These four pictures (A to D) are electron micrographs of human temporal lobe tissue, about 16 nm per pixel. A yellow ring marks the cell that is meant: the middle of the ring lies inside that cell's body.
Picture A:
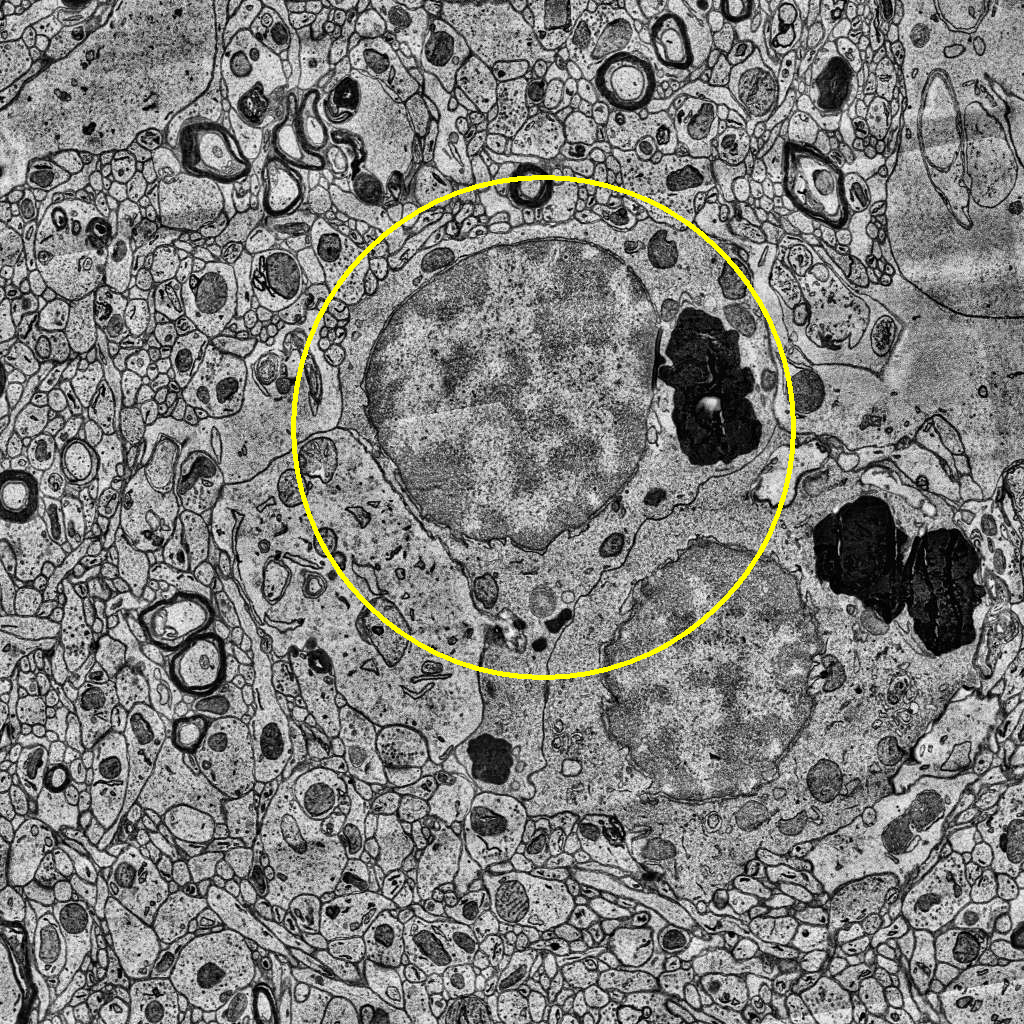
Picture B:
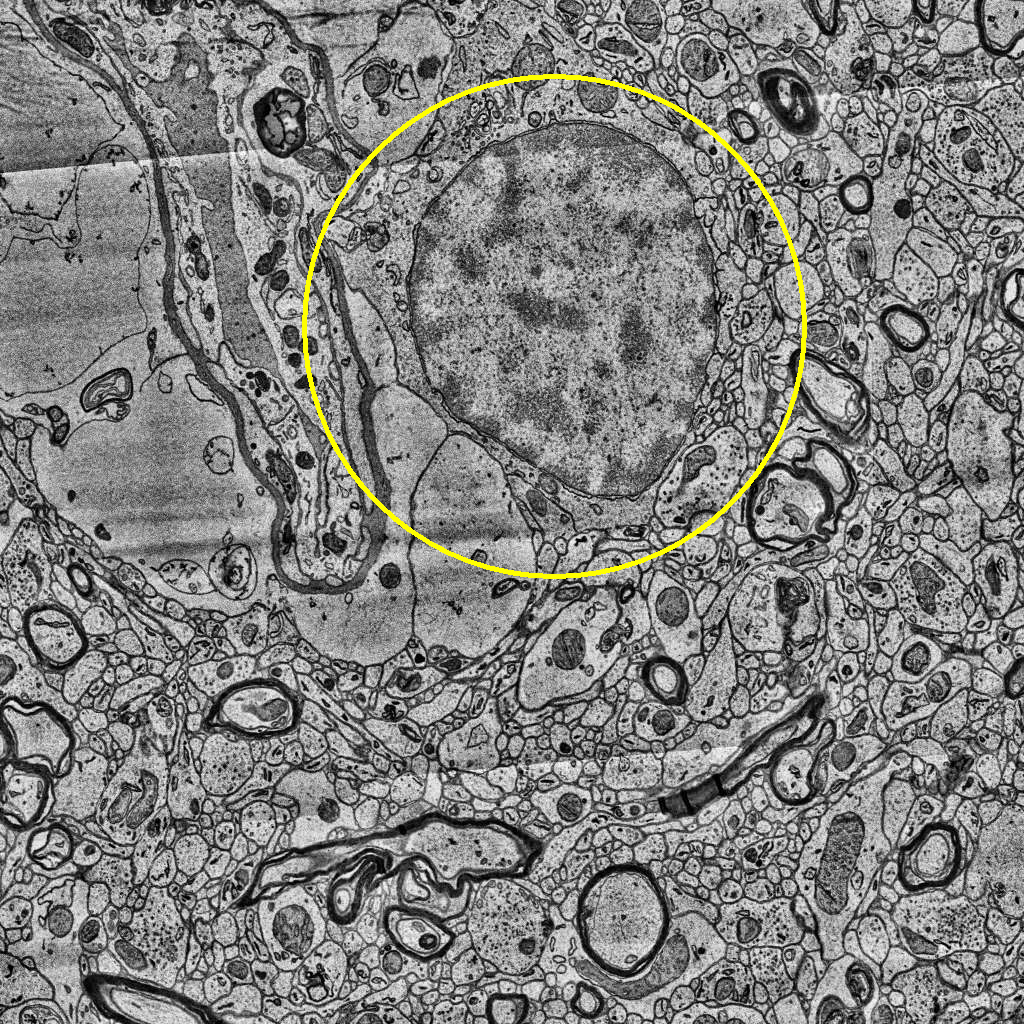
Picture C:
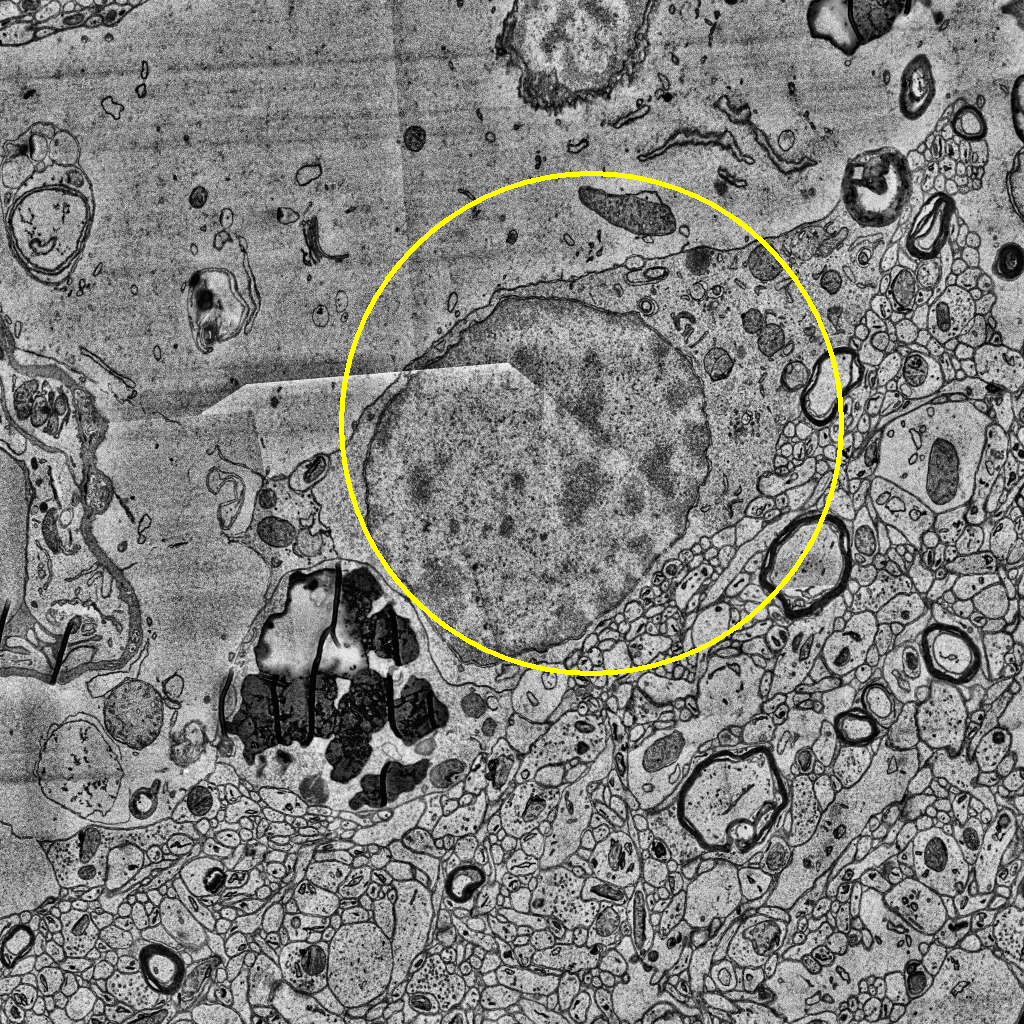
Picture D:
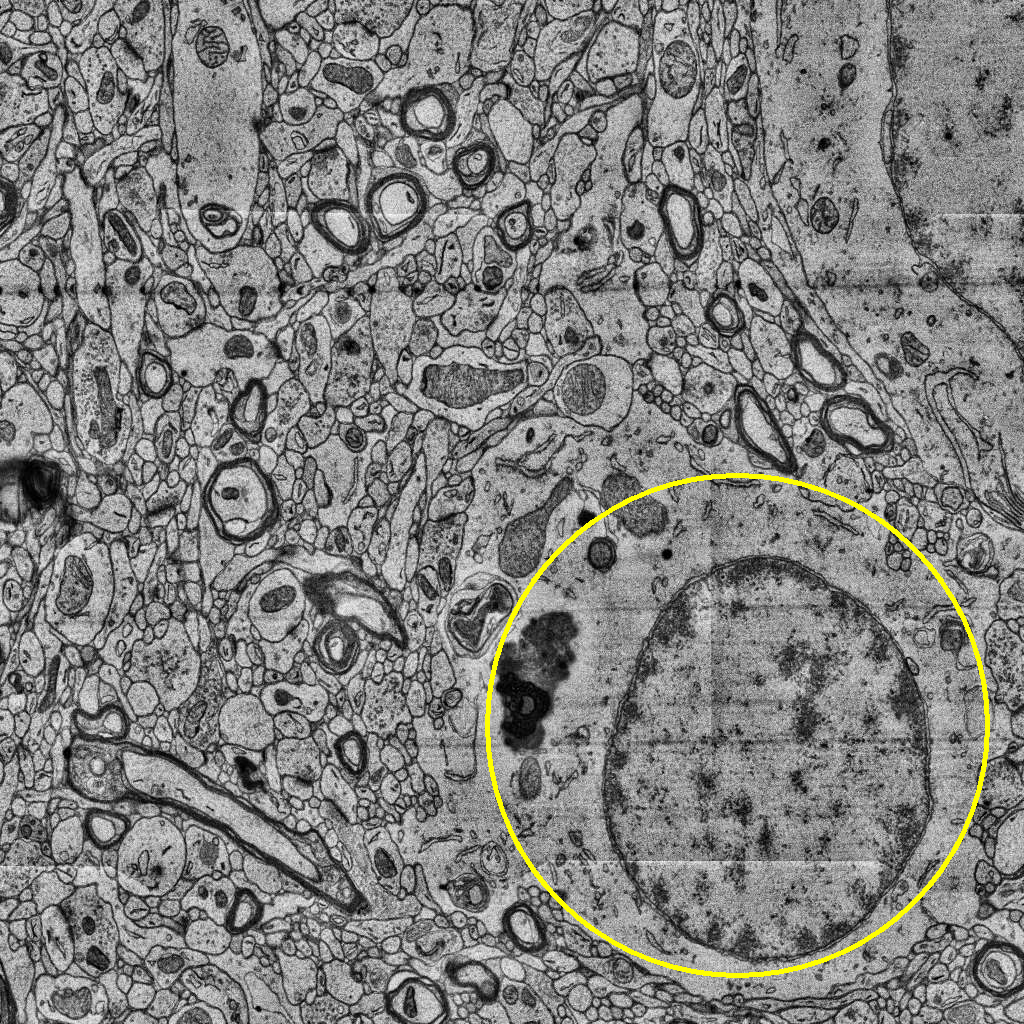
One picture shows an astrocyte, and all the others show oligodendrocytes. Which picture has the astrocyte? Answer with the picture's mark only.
D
